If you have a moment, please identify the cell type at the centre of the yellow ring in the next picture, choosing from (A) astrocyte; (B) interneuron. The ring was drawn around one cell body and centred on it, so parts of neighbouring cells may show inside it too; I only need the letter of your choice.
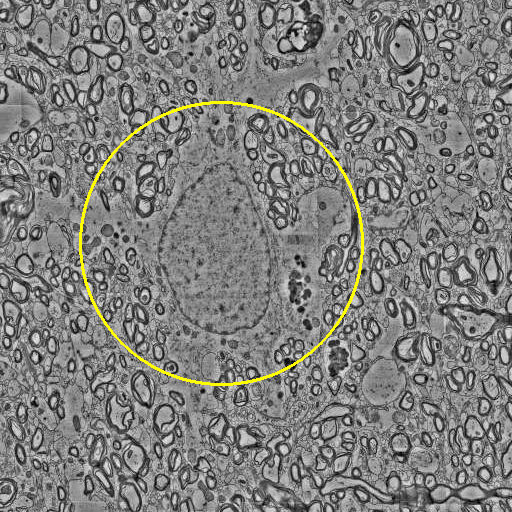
A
